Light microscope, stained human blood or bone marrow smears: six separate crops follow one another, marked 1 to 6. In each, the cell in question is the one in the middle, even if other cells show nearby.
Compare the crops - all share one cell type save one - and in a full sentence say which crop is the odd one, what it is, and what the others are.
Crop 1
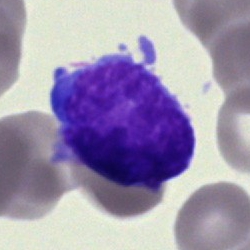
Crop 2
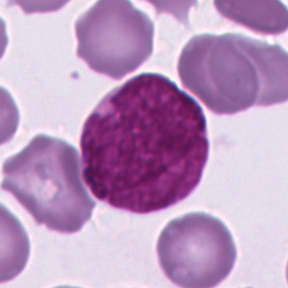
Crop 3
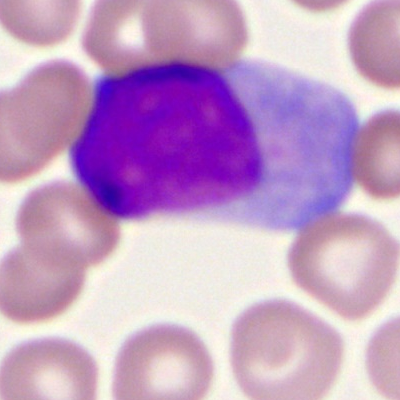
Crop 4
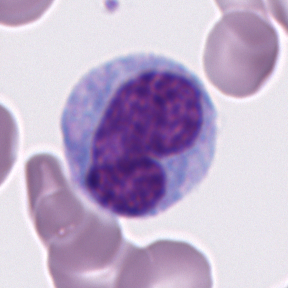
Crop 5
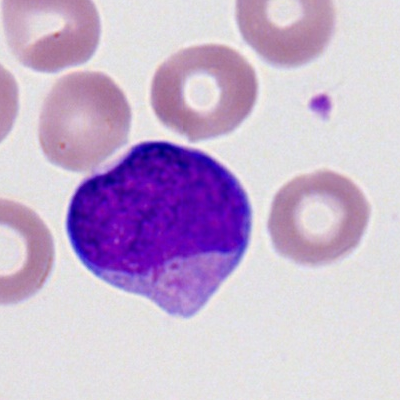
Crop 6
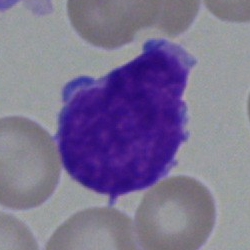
The crop that differs is crop 4, showing a monocyte; the others show blasts.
